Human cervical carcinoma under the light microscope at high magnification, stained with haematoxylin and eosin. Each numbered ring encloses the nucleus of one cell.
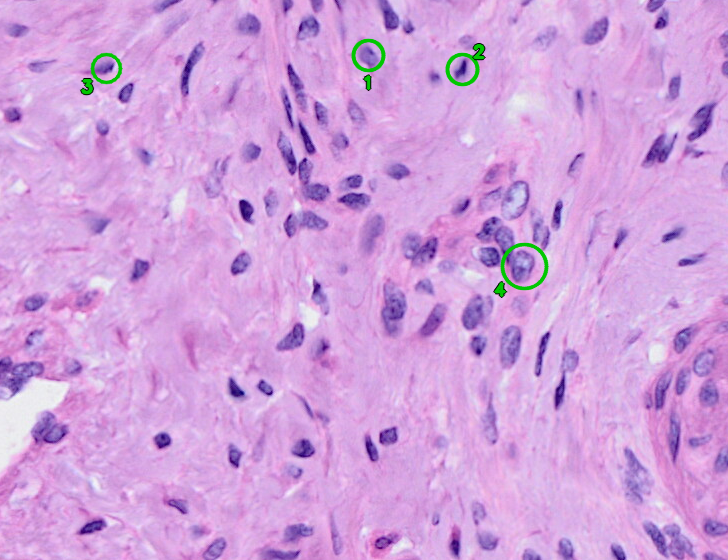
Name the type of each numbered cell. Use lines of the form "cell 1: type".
cell 1: fibroblast
cell 2: fibroblast
cell 3: fibroblast
cell 4: endothelial cell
